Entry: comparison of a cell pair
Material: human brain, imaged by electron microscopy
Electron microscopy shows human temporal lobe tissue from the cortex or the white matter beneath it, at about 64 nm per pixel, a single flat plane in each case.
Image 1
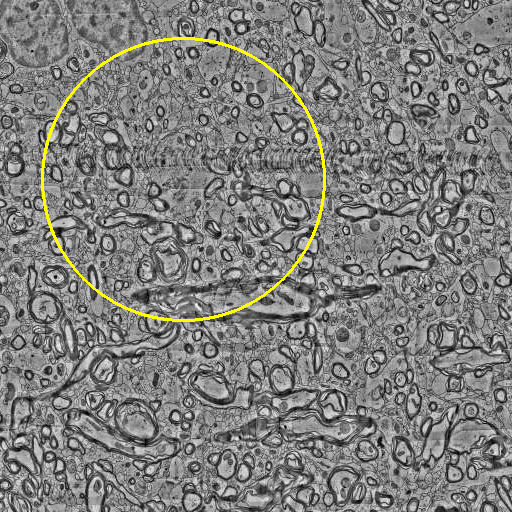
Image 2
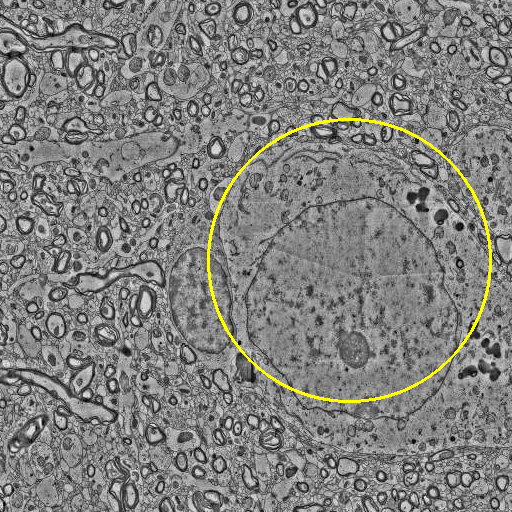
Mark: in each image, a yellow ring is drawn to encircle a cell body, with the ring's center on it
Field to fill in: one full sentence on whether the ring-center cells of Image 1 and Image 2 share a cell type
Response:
No, Image 1 and Image 2 show ring-center cells of two separate types.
